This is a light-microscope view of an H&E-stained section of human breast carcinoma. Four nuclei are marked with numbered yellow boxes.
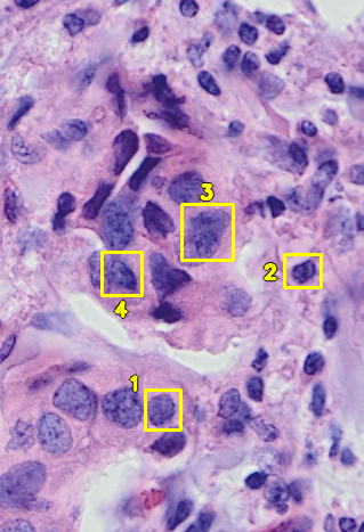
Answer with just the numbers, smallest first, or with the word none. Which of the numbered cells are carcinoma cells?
1, 3, 4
